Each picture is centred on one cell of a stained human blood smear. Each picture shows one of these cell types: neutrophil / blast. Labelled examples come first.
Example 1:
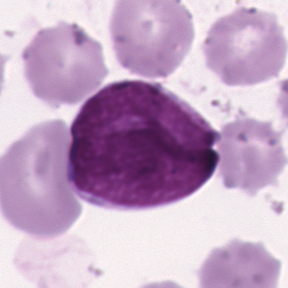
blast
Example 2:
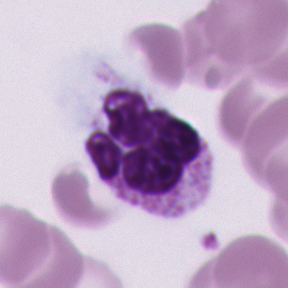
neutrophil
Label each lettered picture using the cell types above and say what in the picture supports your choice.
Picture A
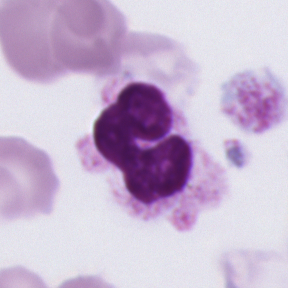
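Label: neutrophil. The cytoplasm between the granules is pale and almost colourless.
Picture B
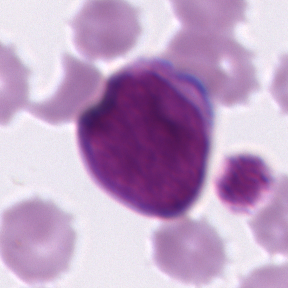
Label: blast. Only a very thin rim of cytoplasm is visible around the nucleus.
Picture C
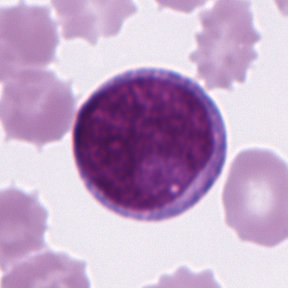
Label: blast. The cytoplasm forms a narrow rim that is widest along the lower right side.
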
